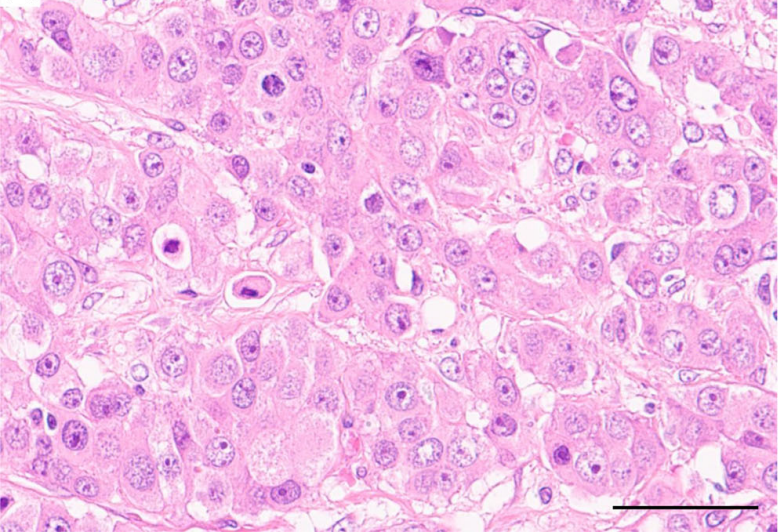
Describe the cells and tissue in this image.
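Sheets and nests of large, loosely cohesive tumour cells with abundant pink, eosinophilic cytoplasm fill the field, separated by thin strands of stroma. Their nuclei are round, pale and vesicular, and many have a prominent nucleolus, with scattered darker or larger nuclei showing pleomorphism. This is the apocrine pattern of pleomorphic lobular carcinoma.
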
